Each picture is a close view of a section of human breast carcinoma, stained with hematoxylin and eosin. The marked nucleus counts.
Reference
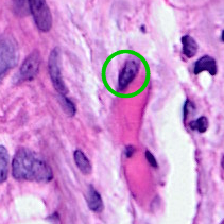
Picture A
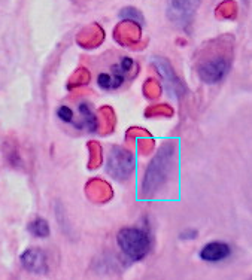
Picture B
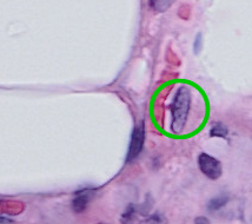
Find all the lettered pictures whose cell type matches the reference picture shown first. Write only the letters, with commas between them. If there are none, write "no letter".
A, B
